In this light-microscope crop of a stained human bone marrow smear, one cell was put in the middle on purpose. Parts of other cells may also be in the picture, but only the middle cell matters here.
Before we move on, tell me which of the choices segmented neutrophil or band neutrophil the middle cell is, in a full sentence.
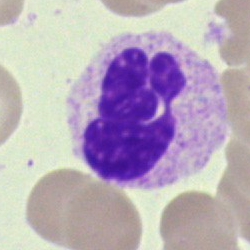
In the centre of this crop there is a segmented neutrophil.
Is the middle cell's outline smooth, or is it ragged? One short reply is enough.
The outline traces a smooth curve with no projections along it.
